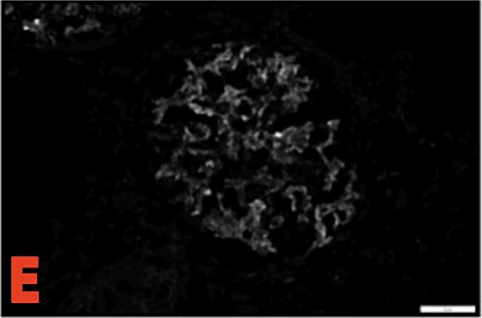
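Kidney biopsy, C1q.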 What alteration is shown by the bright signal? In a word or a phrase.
Glomerular deposits.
